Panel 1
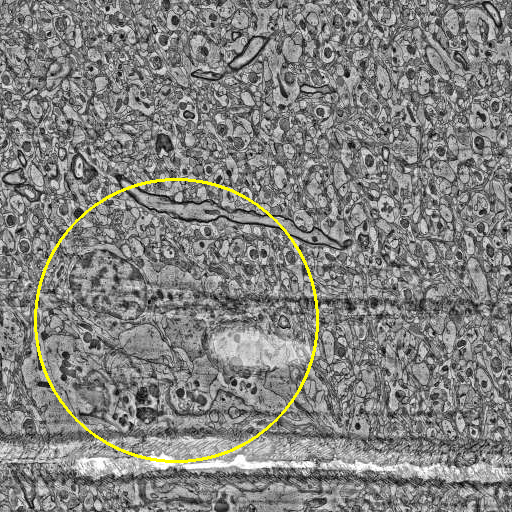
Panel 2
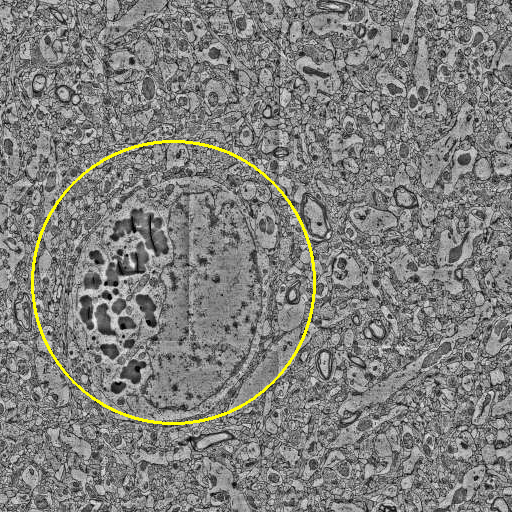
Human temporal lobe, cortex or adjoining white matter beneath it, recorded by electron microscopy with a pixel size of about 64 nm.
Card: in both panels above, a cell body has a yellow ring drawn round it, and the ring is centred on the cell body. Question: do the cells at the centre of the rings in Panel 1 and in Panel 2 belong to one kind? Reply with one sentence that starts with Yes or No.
No, the cells centred in the rings of Panel 1 and Panel 2 are two kinds of cell.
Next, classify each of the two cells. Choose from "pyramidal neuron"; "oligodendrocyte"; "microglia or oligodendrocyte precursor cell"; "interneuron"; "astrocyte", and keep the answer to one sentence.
In the first picture it is an oligodendrocyte; in the second it is an interneuron.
